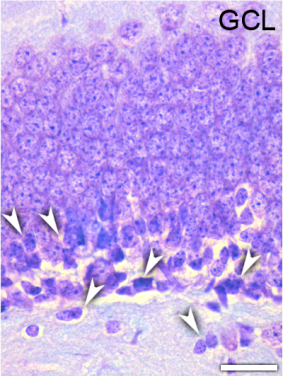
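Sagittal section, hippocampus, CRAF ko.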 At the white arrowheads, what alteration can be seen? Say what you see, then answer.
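The arrowheads point at small cells stained much darker purple than the neurons above. The dark cells lie in groups at the lower border of the layer and below it. So: clusters of darkly stained, chromophilic cells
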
